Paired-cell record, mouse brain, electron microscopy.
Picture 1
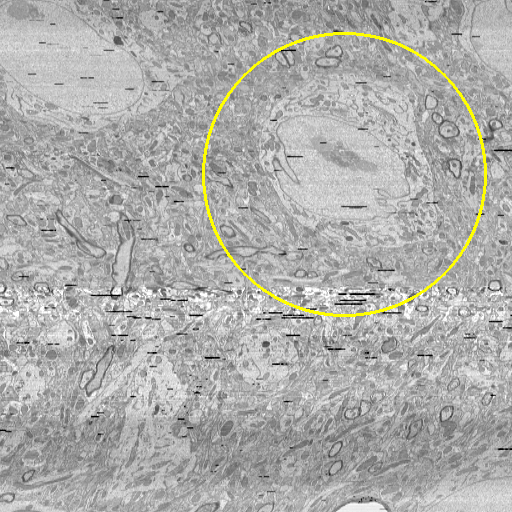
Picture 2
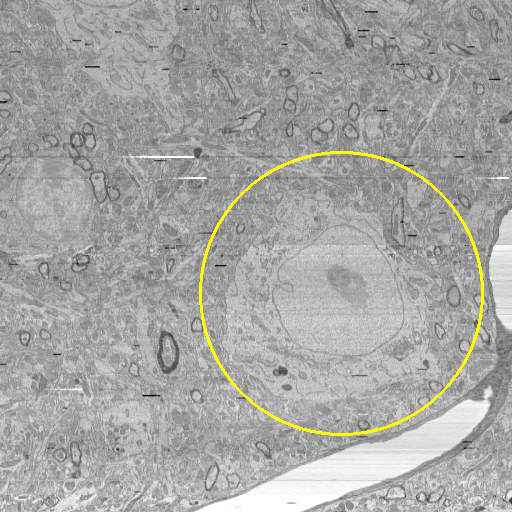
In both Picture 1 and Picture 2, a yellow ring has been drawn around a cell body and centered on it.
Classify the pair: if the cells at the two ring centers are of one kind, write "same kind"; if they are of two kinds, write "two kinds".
two kinds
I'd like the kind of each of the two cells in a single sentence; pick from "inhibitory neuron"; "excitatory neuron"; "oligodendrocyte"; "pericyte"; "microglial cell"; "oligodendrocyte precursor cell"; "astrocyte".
The first ring marks an inhibitory neuron, and the second ring marks an excitatory neuron.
